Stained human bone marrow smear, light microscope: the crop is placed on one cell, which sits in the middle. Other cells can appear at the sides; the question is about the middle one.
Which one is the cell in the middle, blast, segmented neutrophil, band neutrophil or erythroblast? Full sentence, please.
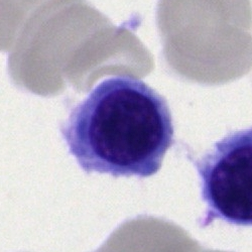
Centred in the crop is an erythroblast.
